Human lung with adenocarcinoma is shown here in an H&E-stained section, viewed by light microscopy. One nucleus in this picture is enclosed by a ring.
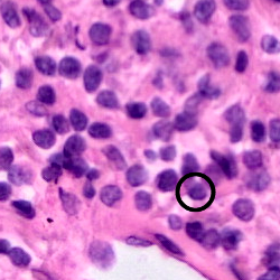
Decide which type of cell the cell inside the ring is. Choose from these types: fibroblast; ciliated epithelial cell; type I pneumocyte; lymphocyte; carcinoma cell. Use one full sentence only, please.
Speaking plainly, the cell inside the ring is nothing other than a lymphocyte.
